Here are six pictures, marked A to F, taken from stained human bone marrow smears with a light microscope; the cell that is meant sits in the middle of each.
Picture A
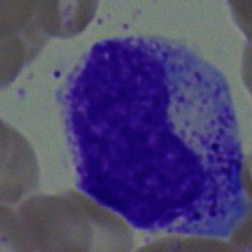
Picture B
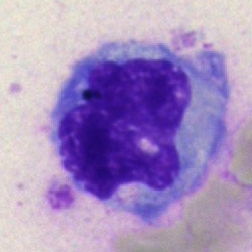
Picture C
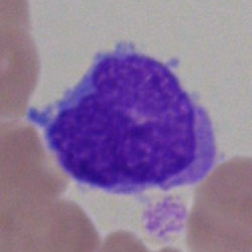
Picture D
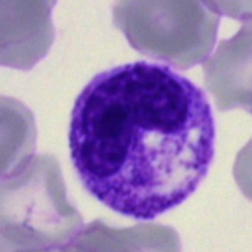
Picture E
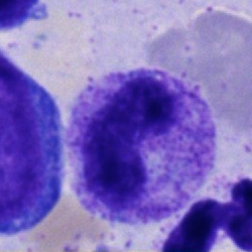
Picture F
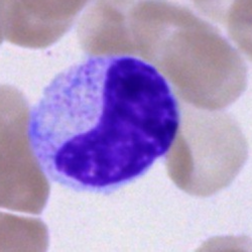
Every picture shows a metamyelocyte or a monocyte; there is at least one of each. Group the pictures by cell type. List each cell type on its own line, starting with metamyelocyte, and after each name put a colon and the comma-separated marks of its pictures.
metamyelocyte: A, D, E, F
monocyte: B, C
